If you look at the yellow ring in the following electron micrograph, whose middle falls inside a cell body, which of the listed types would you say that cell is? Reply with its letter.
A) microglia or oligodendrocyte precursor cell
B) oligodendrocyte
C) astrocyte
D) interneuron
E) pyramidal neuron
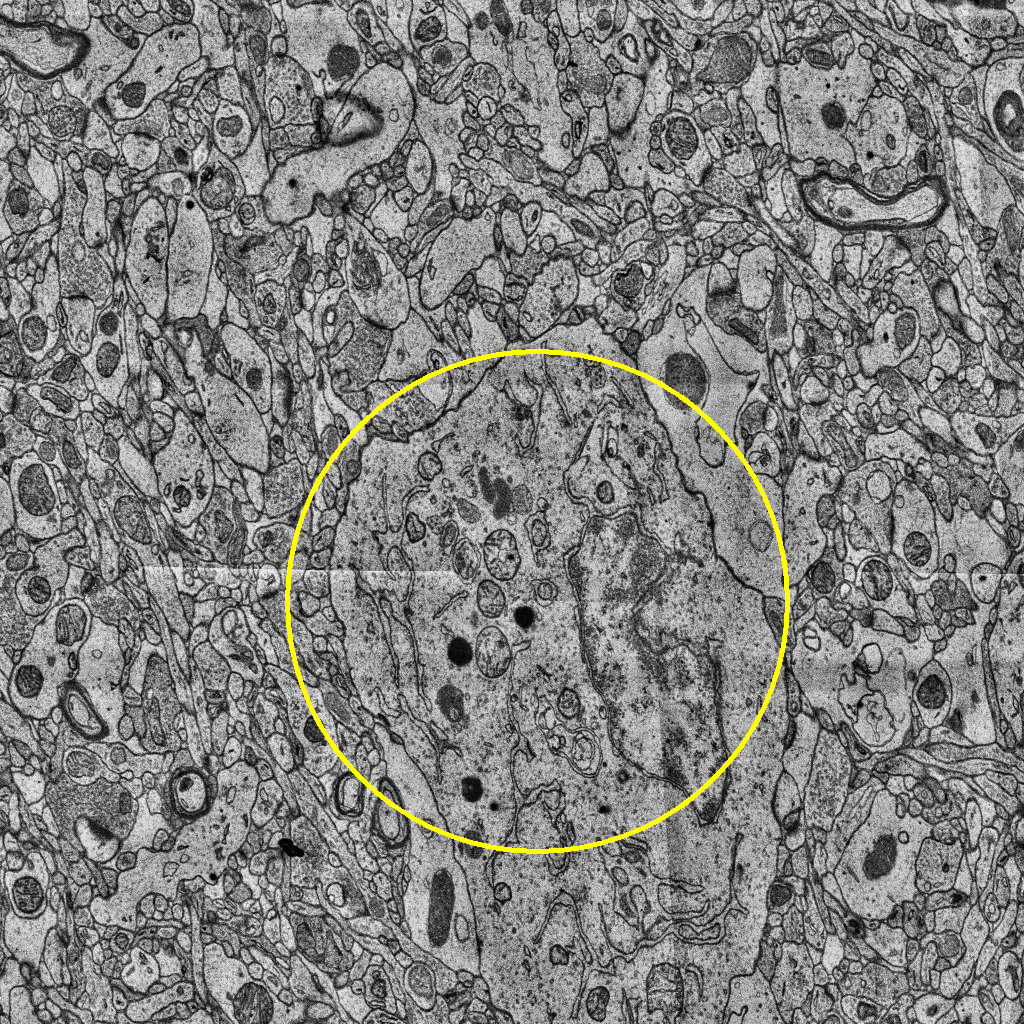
D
